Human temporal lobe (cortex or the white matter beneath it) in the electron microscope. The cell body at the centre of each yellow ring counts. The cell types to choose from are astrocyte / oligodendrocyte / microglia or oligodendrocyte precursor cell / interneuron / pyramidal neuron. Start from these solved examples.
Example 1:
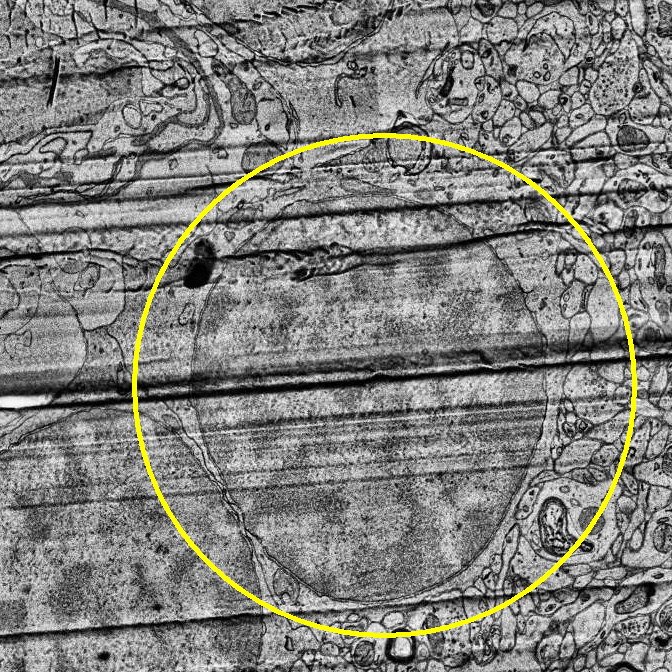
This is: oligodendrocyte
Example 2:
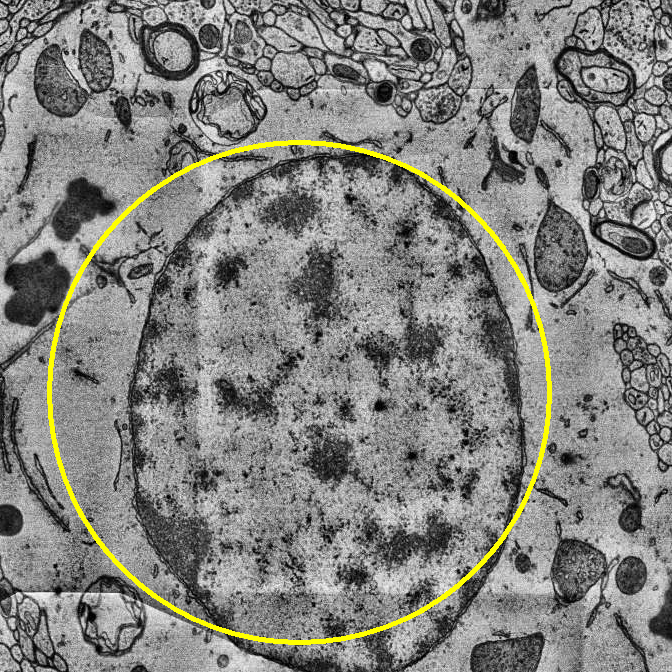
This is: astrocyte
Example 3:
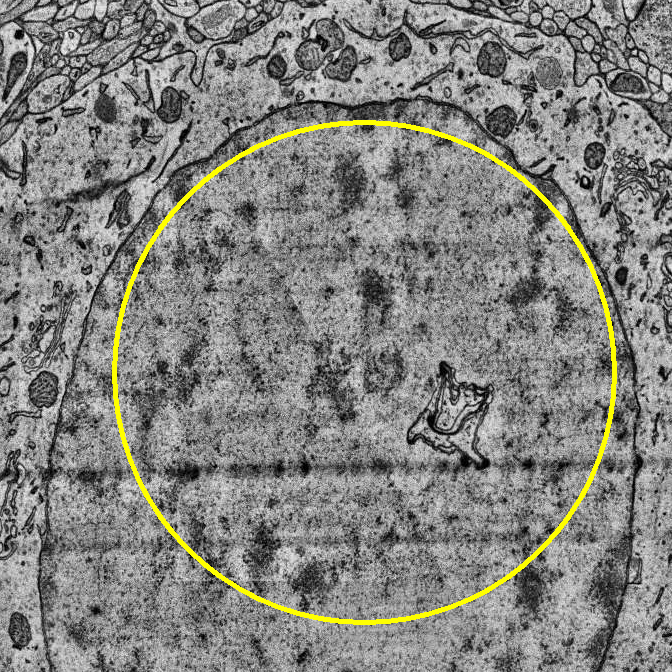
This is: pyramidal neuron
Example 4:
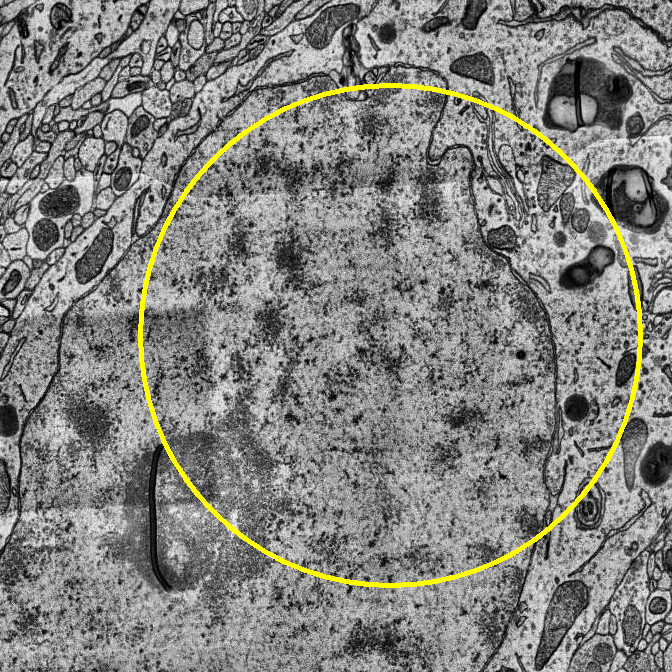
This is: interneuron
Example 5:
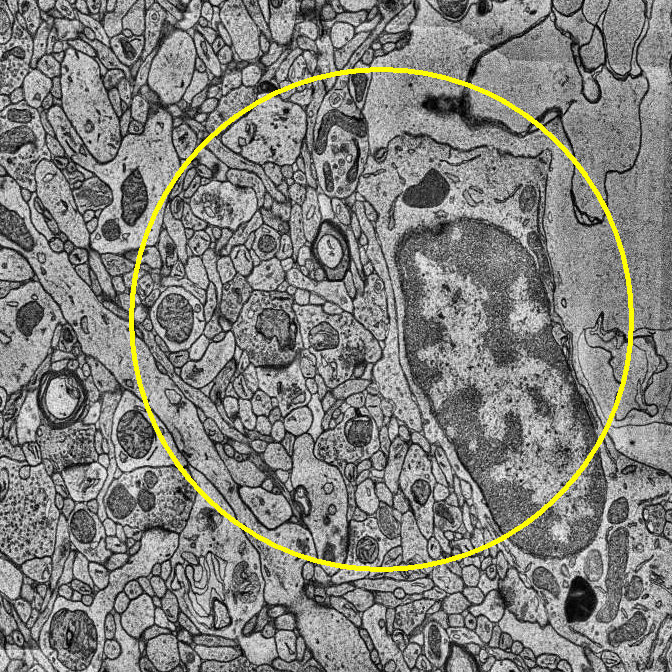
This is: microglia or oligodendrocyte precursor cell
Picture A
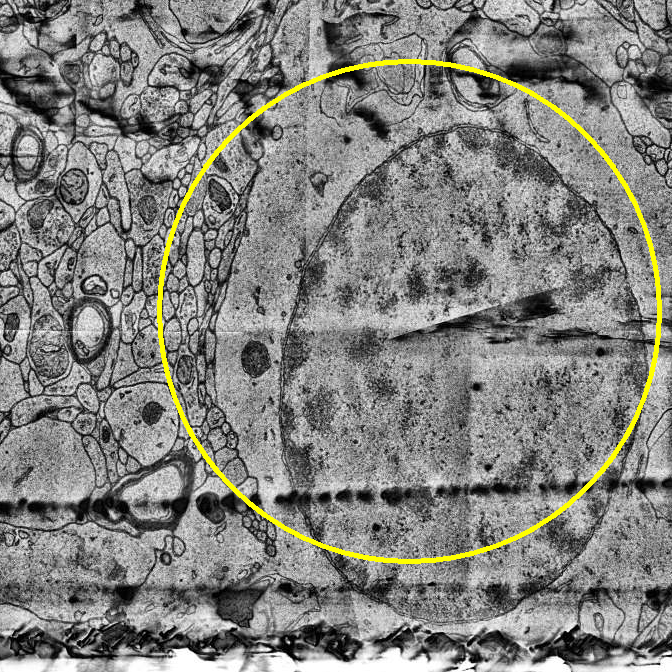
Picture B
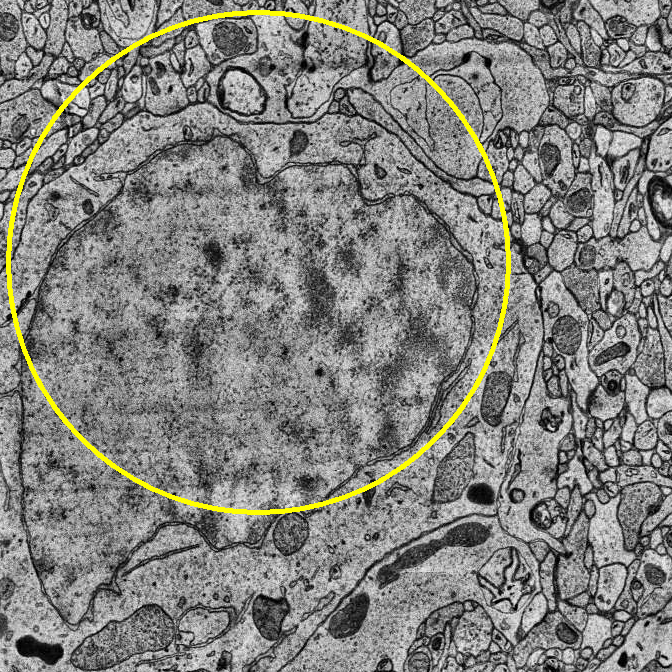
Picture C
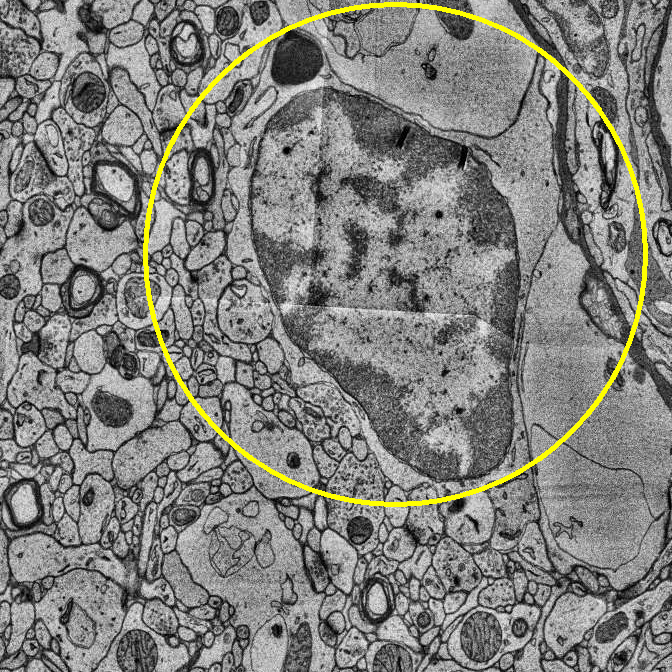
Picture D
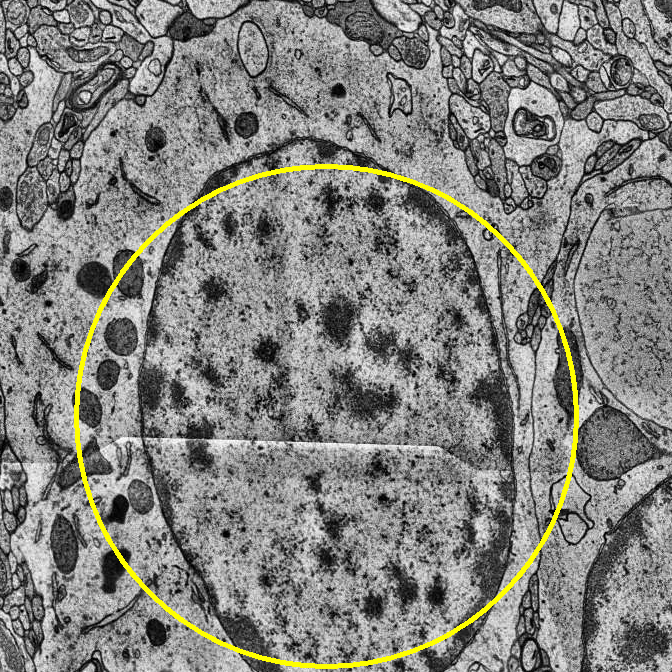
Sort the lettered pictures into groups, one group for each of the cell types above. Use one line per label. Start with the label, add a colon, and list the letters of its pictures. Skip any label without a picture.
astrocyte: A, D
microglia or oligodendrocyte precursor cell: C
interneuron: B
